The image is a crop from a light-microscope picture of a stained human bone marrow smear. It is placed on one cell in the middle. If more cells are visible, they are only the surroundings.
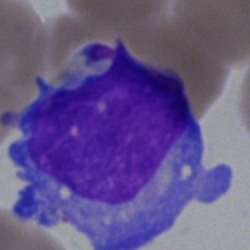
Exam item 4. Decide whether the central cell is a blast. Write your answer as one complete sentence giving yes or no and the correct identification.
Yes, a blast is the cell positioned in the middle of the field.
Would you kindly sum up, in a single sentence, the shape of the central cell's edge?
An irregular outline, ragged or marked by projections, surrounds this cell.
